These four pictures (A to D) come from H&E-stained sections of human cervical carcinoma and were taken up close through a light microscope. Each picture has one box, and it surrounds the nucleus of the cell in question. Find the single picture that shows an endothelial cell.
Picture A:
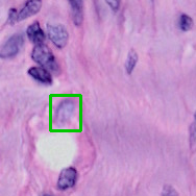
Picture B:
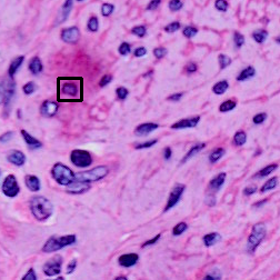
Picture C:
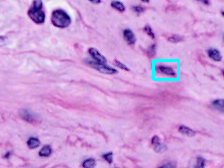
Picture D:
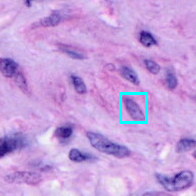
A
